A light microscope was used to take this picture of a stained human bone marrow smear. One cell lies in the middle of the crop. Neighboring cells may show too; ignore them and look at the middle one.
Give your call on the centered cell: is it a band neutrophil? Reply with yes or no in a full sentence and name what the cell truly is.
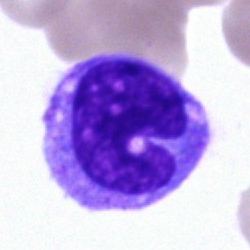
No, the central cell is classed as a monocyte and not as a band neutrophil.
